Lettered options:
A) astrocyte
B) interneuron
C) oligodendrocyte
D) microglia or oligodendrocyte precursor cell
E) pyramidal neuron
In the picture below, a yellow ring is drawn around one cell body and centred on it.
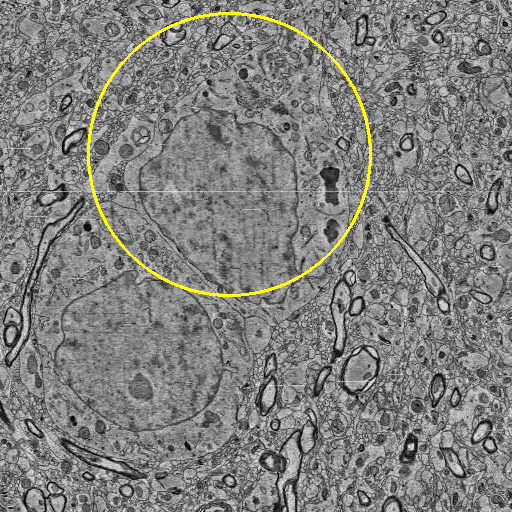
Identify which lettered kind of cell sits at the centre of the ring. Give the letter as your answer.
B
